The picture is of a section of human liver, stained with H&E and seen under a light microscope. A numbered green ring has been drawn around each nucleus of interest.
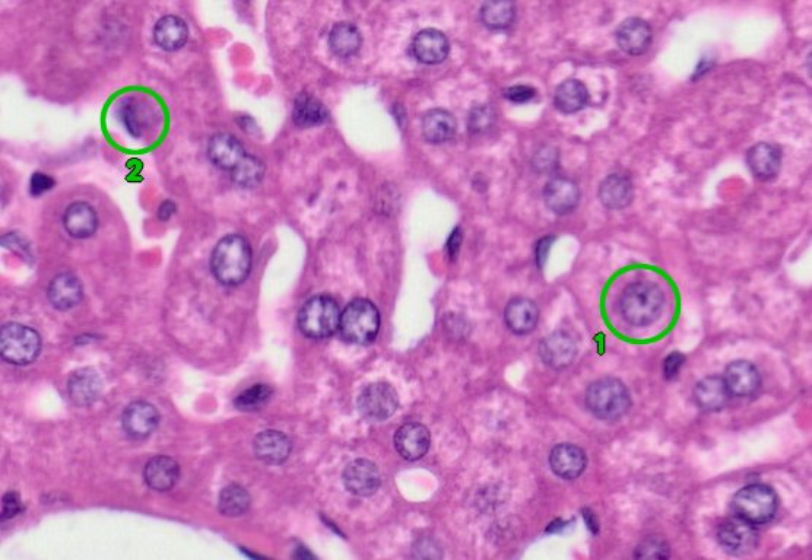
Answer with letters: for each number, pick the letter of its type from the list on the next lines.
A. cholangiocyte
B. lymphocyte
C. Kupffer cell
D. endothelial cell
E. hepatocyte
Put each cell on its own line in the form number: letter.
1: E
2: D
